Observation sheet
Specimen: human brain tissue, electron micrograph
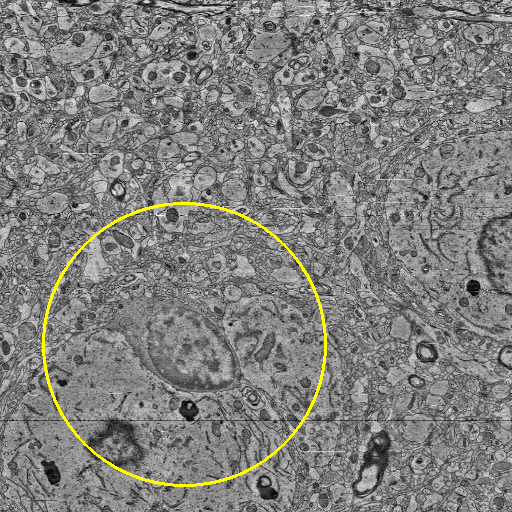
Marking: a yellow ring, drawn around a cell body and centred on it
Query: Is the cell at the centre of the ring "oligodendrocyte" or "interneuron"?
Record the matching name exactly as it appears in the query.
oligodendrocyte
